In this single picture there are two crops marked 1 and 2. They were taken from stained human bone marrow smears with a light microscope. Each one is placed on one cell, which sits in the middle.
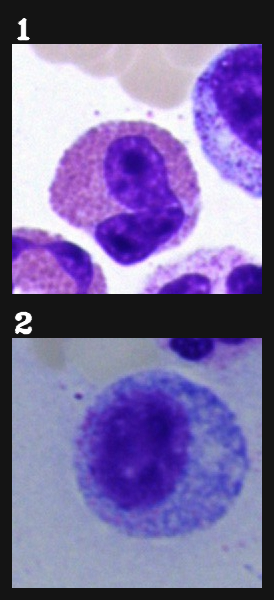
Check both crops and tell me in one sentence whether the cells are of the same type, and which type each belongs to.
No, it is crop 1 that shows an eosinophil, and crop 2 that shows a myelocyte.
